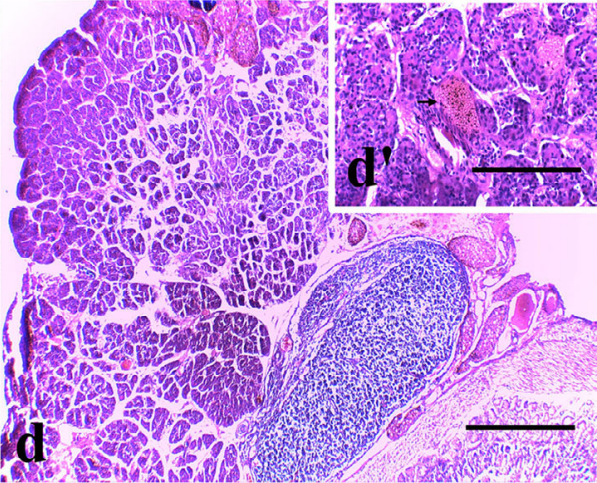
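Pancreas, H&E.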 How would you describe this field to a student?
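The section shows pancreatic parenchyma made of closely packed, purple-staining acini grouped into lobules. Thin pale connective tissue septa run between the lobules. Near the lower centre lies a dense oval mass of small, darkly stained round nuclei set apart from the acini by a capsule-like border. An inset at higher magnification shows acinar cells around a small, distinct cell cluster marked by an arrow.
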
